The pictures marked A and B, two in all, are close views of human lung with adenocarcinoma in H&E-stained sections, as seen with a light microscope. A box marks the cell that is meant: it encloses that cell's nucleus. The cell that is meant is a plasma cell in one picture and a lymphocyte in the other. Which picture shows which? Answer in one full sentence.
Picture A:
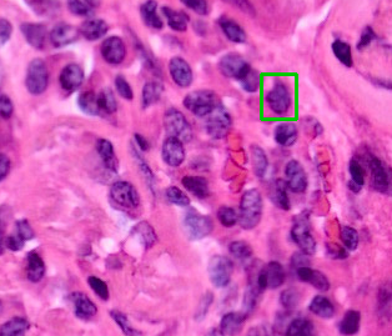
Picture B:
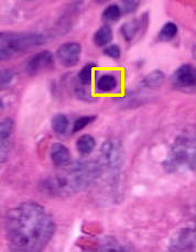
In picture A the cell is a plasma cell; in picture B, a lymphocyte.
